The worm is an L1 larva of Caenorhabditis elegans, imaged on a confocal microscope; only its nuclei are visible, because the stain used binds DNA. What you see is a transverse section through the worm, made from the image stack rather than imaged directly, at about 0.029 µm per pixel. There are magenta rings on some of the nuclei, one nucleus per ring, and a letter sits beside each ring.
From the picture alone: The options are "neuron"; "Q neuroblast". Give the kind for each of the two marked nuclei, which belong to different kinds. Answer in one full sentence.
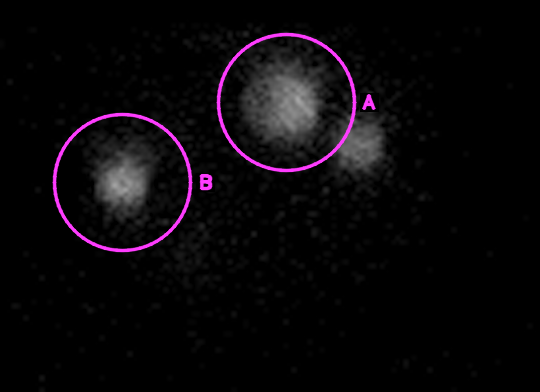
A is the nucleus of a Q neuroblast; B is the nucleus of a neuron.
